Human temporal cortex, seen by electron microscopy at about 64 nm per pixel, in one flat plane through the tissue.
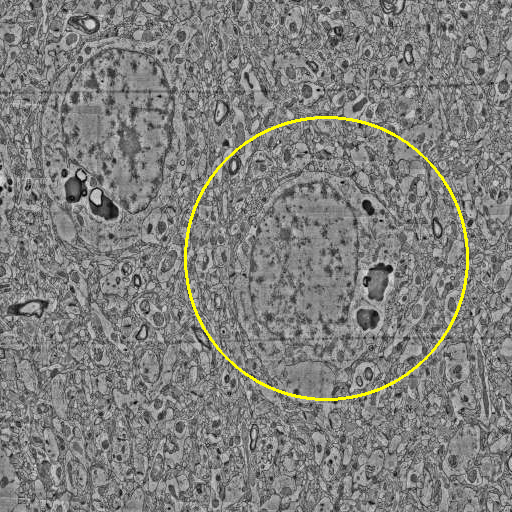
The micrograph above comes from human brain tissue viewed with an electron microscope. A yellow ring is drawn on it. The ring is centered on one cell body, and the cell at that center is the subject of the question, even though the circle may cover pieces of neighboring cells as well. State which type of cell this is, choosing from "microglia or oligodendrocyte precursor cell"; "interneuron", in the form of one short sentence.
The cell the ring is centered on is an interneuron.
